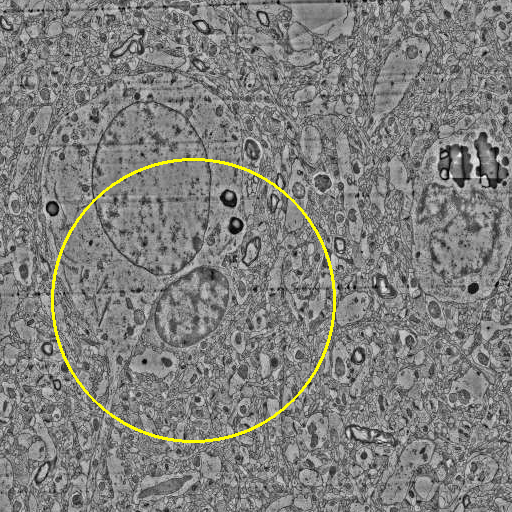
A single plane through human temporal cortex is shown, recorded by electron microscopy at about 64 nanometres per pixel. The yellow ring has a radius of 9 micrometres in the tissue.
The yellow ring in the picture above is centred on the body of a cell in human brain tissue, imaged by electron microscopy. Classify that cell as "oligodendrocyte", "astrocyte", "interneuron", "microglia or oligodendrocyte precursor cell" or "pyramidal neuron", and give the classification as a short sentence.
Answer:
The cell in the middle of the ring is an oligodendrocyte.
